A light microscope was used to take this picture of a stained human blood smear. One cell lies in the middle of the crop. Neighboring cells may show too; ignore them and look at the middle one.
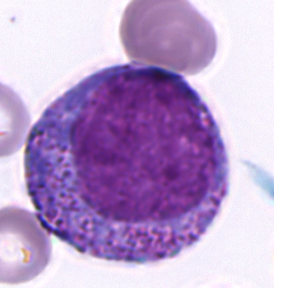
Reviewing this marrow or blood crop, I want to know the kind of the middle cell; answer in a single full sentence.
Answering briefly, the cell in the middle is a promyelocyte.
